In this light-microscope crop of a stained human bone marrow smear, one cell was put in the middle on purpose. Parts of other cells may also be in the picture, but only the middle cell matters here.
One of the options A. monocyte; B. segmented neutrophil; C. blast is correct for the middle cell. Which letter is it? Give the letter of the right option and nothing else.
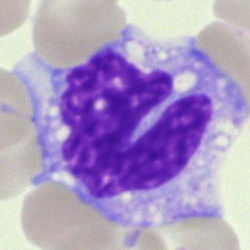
A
